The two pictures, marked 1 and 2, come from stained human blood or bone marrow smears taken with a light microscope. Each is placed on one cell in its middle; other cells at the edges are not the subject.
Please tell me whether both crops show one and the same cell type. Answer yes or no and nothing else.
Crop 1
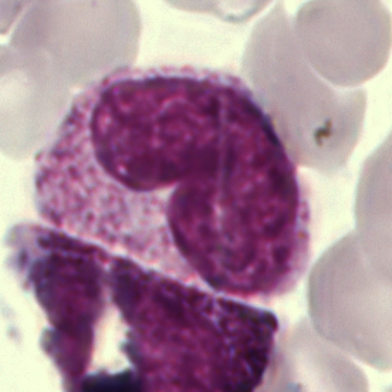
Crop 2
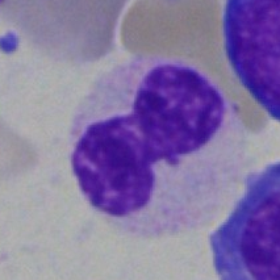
yes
